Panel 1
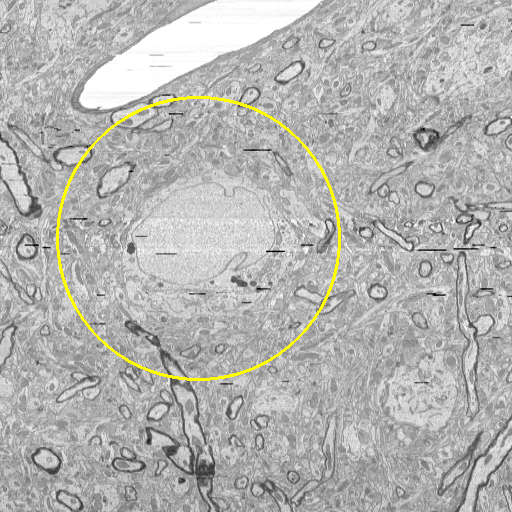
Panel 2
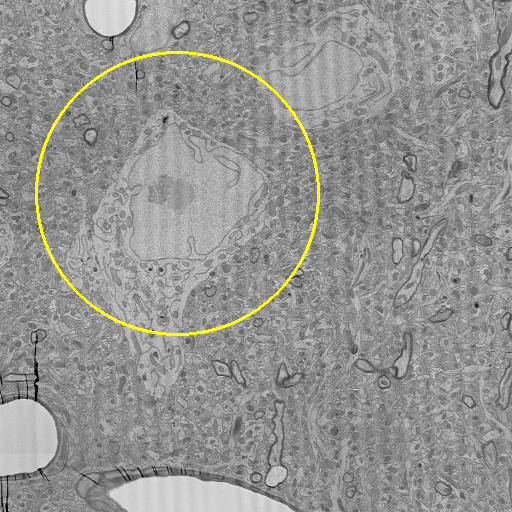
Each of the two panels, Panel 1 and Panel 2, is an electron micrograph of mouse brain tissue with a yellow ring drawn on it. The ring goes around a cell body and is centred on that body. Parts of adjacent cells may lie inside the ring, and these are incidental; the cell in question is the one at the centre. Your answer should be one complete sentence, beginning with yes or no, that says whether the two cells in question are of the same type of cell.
No, the two cells are of two types.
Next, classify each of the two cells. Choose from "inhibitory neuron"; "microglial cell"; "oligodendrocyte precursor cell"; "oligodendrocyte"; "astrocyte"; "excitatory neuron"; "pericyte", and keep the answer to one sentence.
In the first picture it is an excitatory neuron; in the second it is an inhibitory neuron.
